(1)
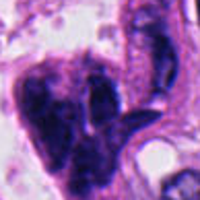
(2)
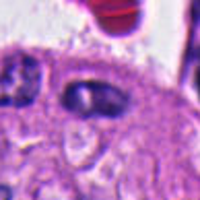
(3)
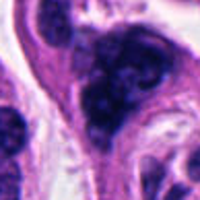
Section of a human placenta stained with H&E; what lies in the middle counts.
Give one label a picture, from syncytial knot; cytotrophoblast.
1: syncytial knot
2: cytotrophoblast
3: syncytial knot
